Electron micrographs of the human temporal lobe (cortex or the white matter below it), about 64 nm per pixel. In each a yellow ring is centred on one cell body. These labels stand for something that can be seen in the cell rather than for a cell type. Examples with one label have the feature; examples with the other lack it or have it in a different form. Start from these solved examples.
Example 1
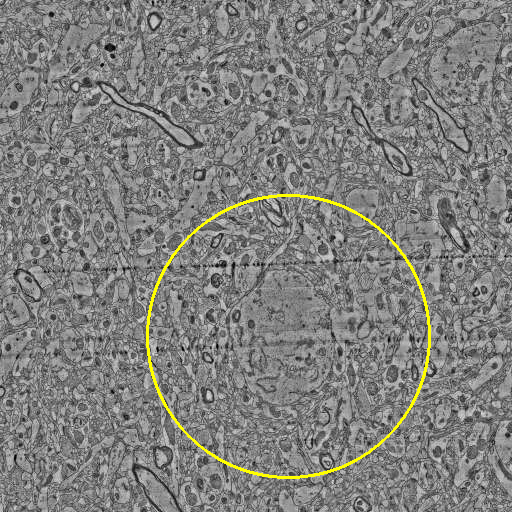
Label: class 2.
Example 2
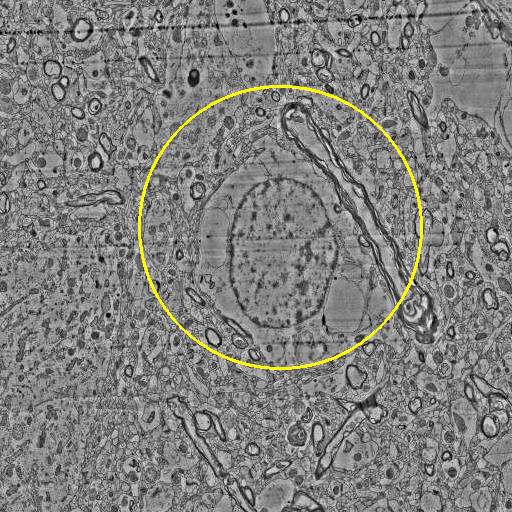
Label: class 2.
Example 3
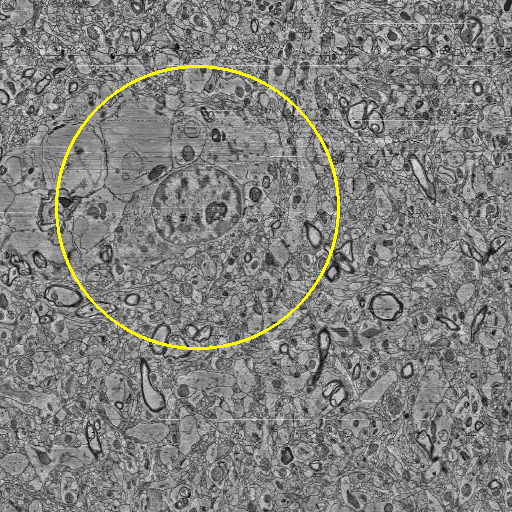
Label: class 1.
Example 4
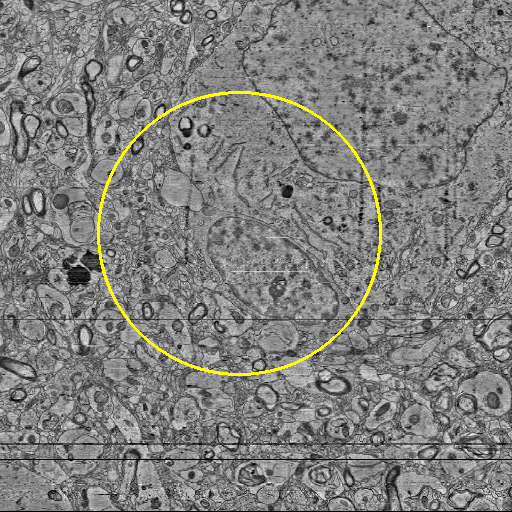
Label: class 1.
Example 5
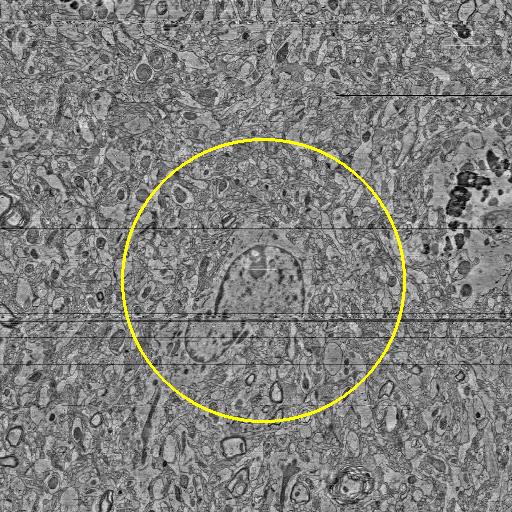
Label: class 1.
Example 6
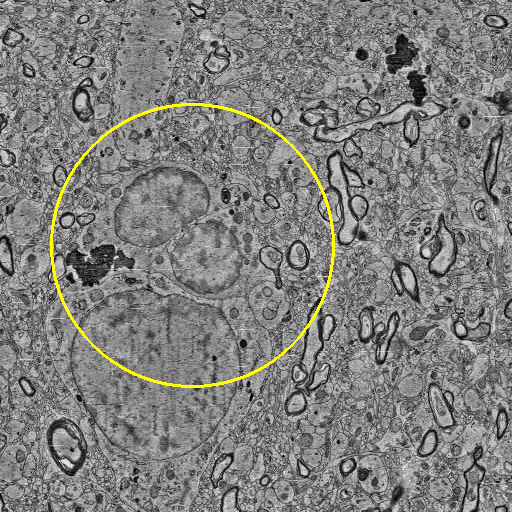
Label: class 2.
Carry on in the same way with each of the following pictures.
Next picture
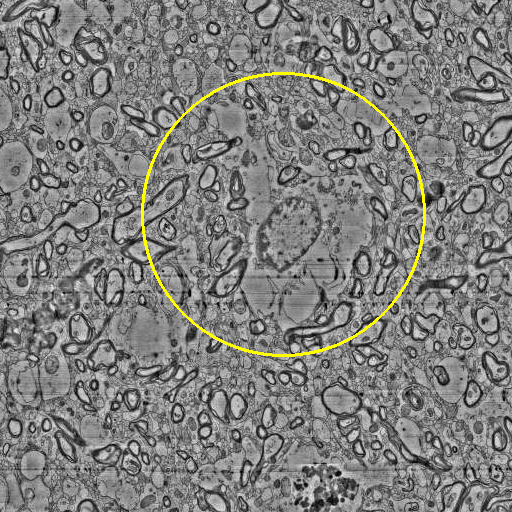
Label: class 2.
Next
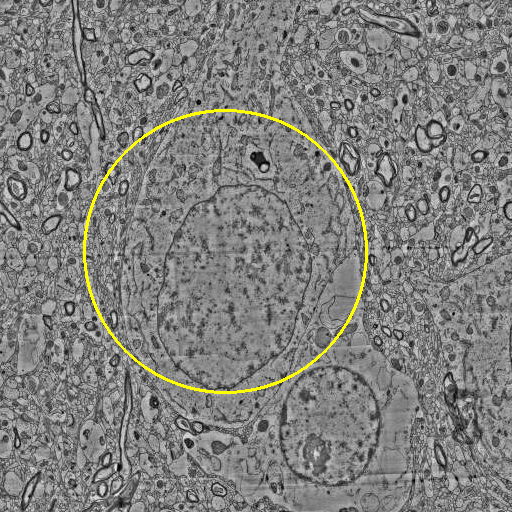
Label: class 2.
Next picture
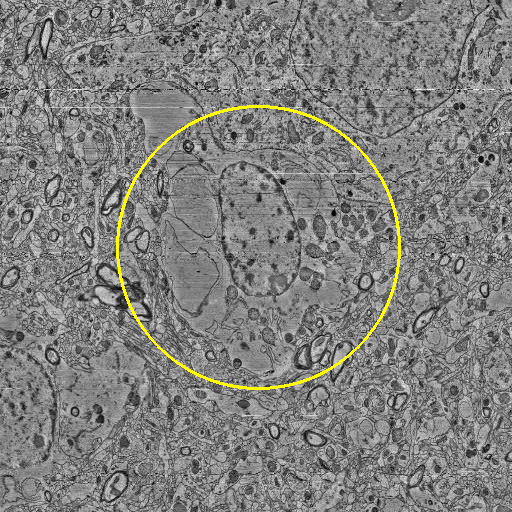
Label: class 2.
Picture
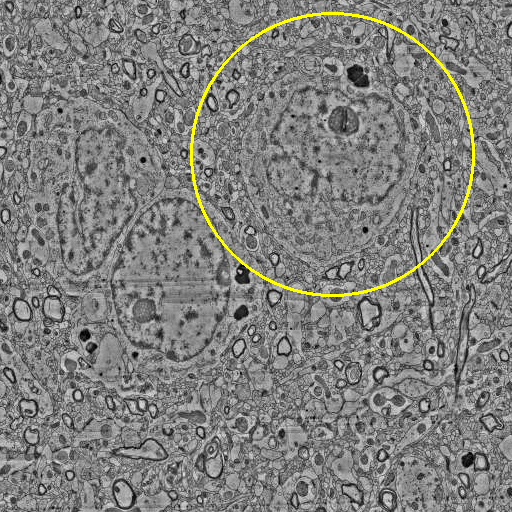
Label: class 1.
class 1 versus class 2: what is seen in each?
Seen in class 1: nucleolus seen; seen in class 2: no nucleolus seen.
